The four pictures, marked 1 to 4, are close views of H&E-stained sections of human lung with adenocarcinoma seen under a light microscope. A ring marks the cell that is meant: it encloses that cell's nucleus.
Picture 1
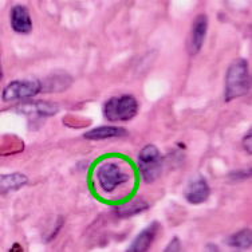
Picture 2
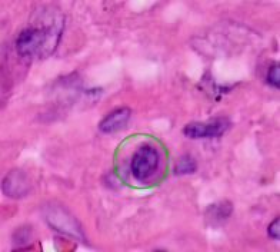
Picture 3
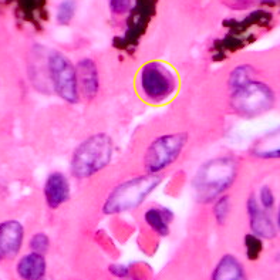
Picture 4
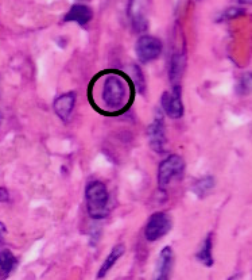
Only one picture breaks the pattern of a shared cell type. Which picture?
1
